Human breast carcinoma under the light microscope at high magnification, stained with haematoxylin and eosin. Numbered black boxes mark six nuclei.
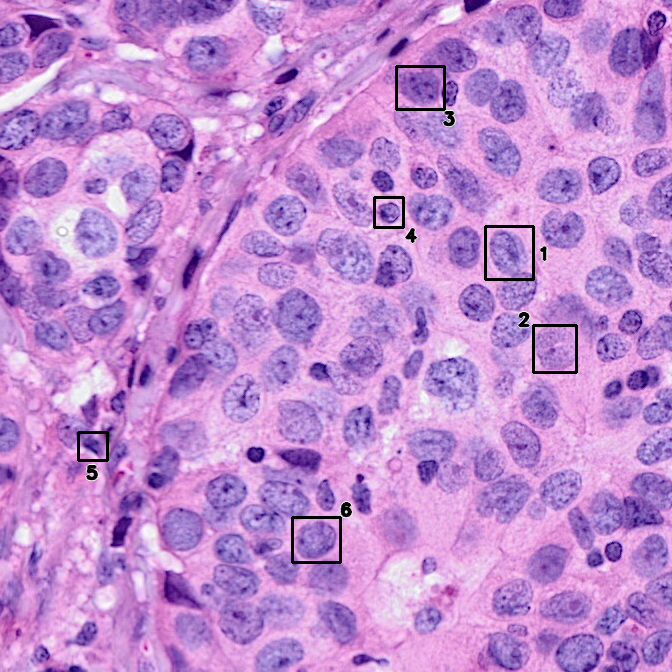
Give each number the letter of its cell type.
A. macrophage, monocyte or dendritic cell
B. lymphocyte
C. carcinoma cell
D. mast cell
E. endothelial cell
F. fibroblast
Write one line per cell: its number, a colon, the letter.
1: C
2: C
3: C
4: B
5: B
6: C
